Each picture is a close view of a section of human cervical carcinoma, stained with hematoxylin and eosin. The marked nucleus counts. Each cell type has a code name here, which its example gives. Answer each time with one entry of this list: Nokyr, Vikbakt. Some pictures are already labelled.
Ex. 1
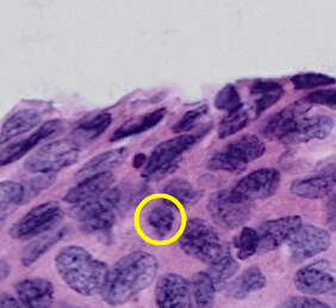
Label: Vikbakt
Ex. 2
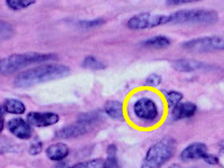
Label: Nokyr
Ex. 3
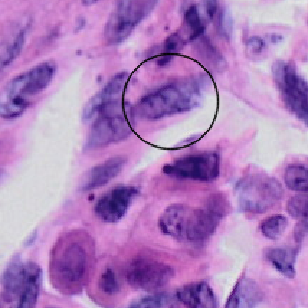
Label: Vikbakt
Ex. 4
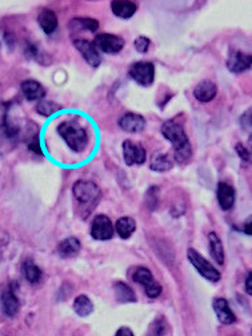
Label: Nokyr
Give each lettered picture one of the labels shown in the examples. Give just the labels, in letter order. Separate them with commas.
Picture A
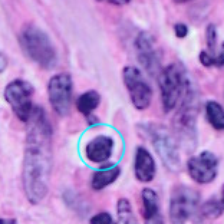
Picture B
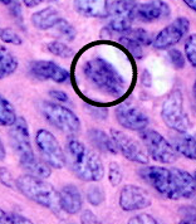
Nokyr, Vikbakt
